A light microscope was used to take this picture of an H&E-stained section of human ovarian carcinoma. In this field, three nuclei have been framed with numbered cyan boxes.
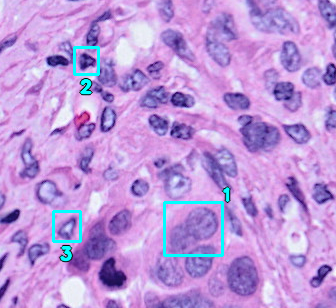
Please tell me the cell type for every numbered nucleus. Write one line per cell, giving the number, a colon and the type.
1: carcinoma cell
2: lymphocyte
3: fibroblast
